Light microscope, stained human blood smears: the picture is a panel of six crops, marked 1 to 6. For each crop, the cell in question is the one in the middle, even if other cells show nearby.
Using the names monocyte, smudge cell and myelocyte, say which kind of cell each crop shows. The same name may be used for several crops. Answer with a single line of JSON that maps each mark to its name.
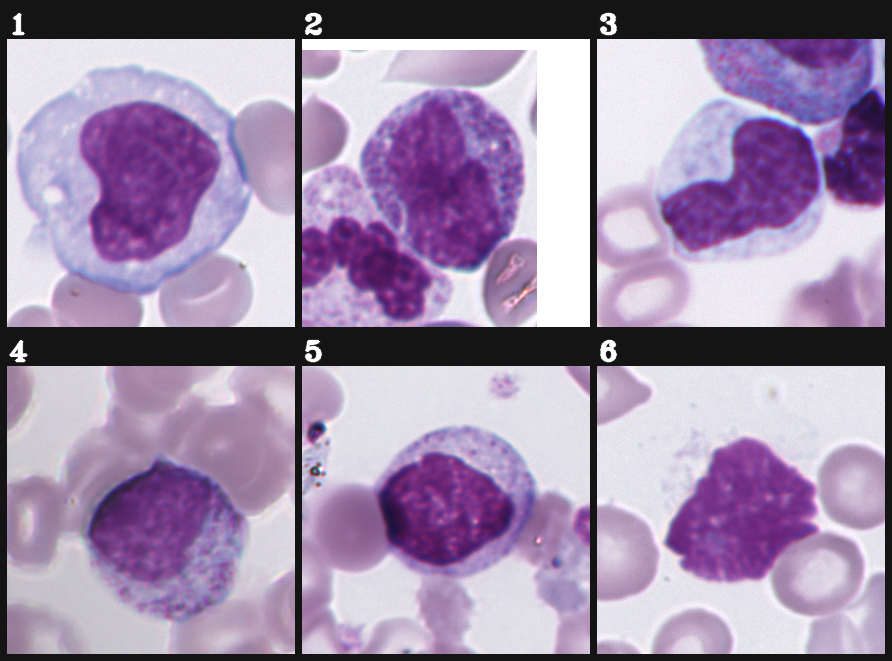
{"1": "monocyte", "2": "myelocyte", "3": "monocyte", "4": "myelocyte", "5": "myelocyte", "6": "smudge cell"}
